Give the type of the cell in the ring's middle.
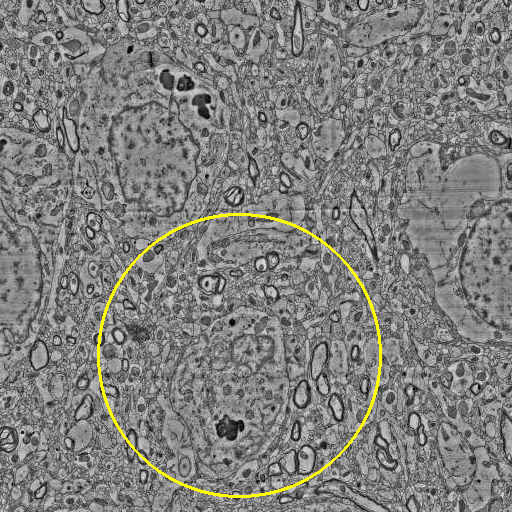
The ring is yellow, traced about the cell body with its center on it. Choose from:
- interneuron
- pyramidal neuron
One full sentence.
Here, a pyramidal neuron is the cell lying at the center of the yellow ring.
